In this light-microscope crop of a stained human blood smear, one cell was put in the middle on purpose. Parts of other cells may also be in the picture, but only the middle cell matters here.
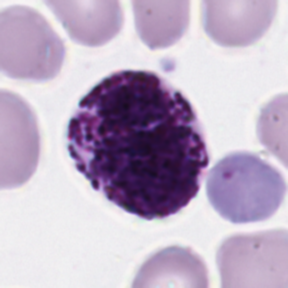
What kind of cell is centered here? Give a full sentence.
In the middle of this smear crop, the cell is a basophil.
